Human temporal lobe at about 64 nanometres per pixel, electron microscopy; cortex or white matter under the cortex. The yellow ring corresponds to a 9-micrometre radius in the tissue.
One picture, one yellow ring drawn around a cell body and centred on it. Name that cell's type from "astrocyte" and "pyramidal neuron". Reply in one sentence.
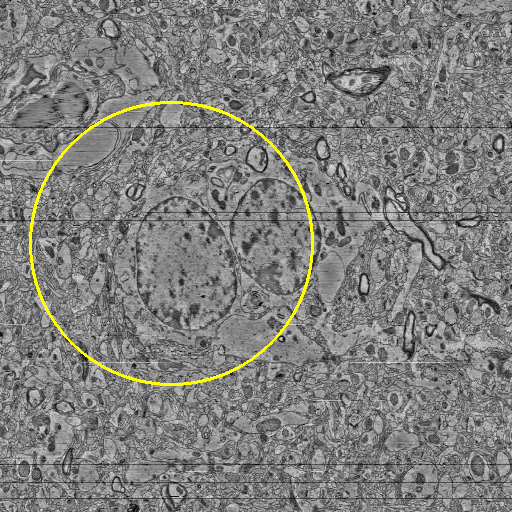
Centred in the ring is an astrocyte.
